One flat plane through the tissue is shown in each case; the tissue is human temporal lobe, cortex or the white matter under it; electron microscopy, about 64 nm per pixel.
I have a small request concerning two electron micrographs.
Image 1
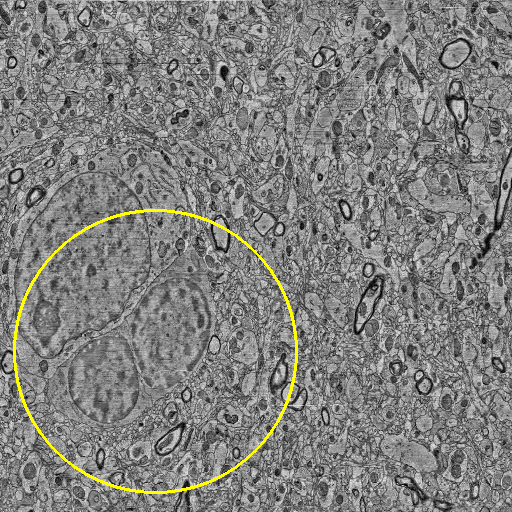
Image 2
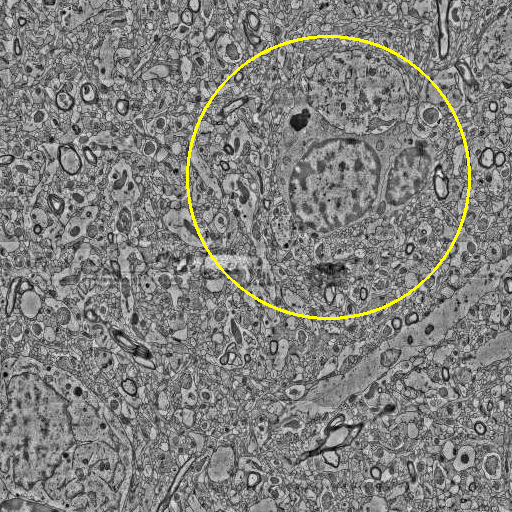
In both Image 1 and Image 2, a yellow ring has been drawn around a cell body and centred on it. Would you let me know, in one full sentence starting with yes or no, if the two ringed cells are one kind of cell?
Yes, the cells ringed in Image 1 and Image 2 are one kind of cell.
